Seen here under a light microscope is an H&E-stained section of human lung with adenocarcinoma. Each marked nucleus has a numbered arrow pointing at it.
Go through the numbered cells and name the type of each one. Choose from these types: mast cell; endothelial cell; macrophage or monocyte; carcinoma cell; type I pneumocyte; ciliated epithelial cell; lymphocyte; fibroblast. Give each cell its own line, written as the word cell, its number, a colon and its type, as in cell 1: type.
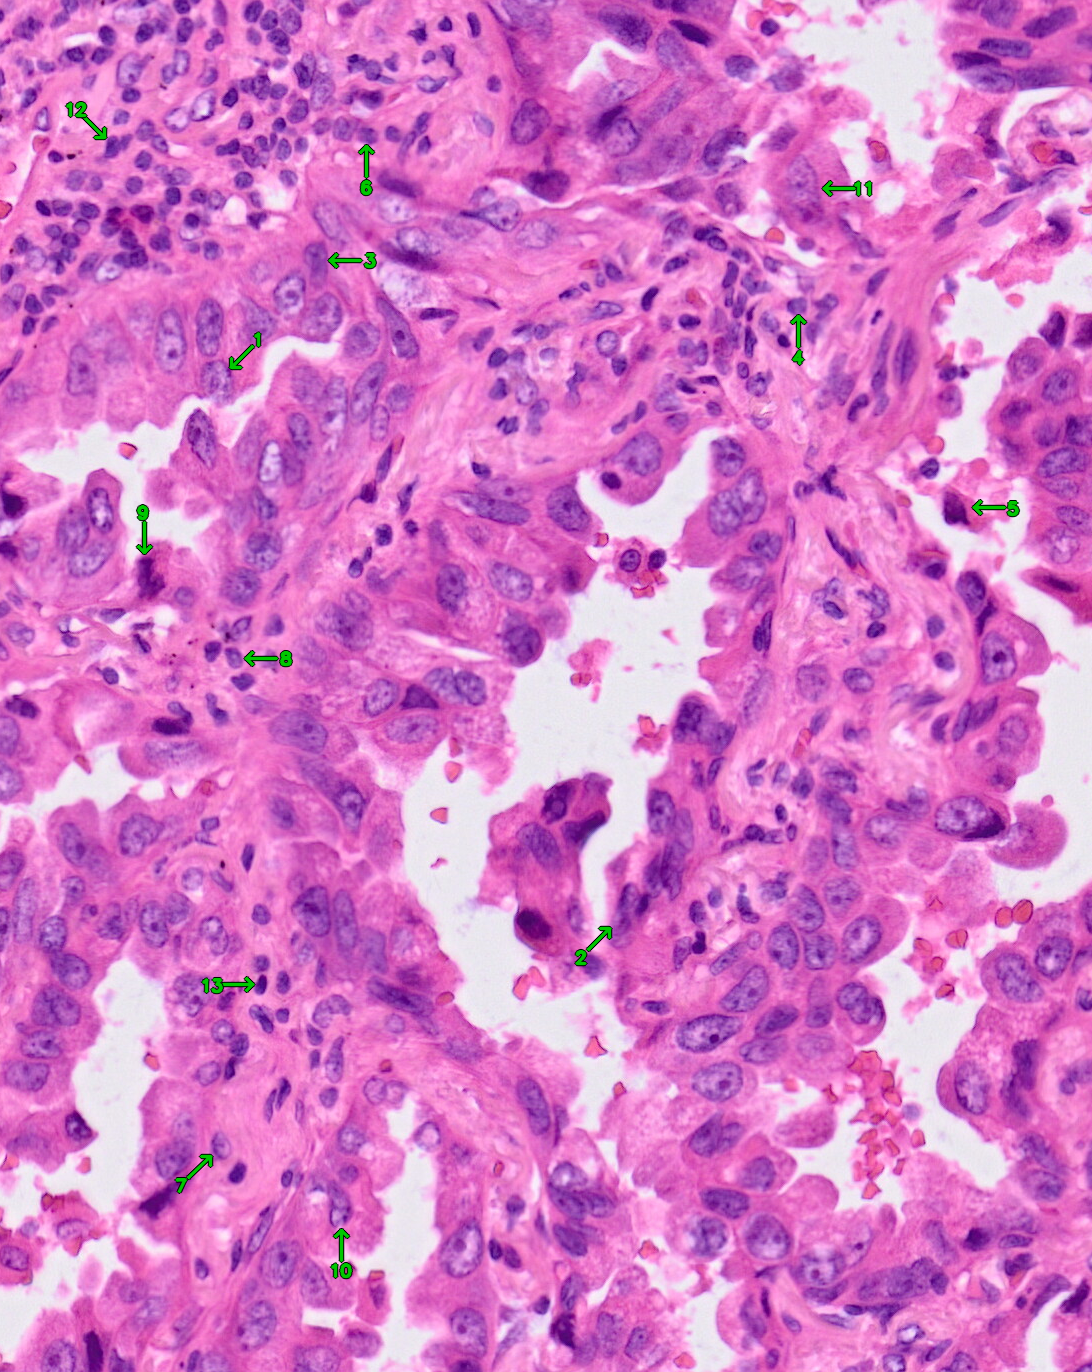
cell 1: carcinoma cell
cell 2: carcinoma cell
cell 3: carcinoma cell
cell 4: lymphocyte
cell 5: carcinoma cell
cell 6: lymphocyte
cell 7: fibroblast
cell 8: lymphocyte
cell 9: carcinoma cell
cell 10: carcinoma cell
cell 11: carcinoma cell
cell 12: lymphocyte
cell 13: lymphocyte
